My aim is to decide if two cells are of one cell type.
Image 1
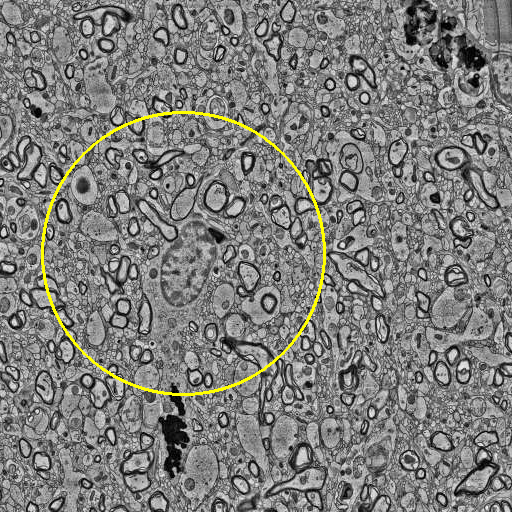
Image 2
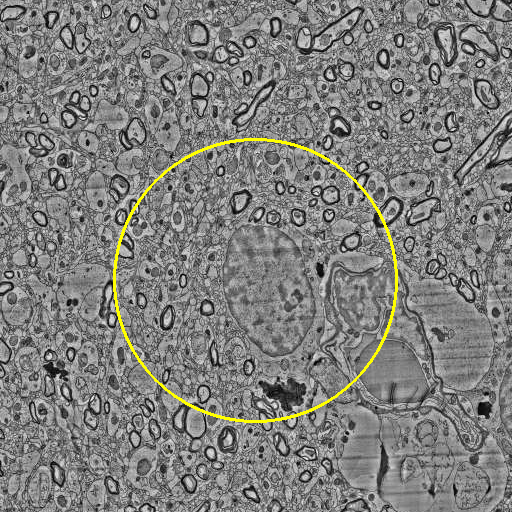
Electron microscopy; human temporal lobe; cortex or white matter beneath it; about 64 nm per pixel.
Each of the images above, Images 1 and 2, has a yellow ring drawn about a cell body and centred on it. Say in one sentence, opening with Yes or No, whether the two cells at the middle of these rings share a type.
Yes, in Images 1 and 2 the cells at the middle of the rings share one type.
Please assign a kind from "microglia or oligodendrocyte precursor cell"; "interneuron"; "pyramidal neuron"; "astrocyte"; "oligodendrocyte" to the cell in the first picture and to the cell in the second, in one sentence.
Each cell, in the first picture and the second, is an oligodendrocyte.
